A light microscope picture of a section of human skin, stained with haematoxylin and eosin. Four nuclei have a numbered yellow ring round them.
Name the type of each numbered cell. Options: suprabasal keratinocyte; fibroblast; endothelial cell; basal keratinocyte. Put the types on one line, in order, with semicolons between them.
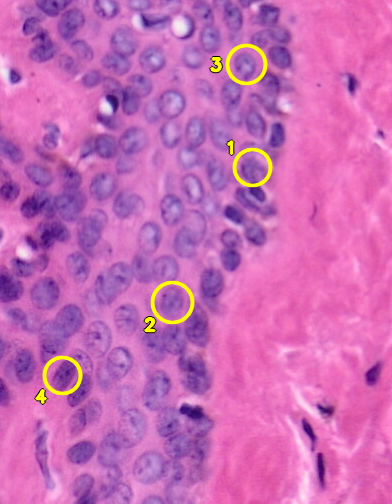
basal keratinocyte; basal keratinocyte; suprabasal keratinocyte; basal keratinocyte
